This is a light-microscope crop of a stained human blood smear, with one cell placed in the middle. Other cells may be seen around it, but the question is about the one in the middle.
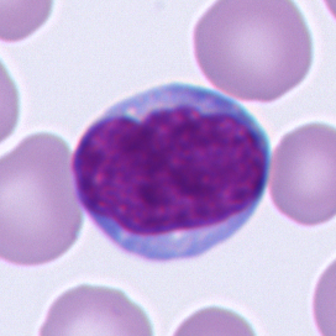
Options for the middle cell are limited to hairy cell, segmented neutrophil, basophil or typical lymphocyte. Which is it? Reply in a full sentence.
By classification, the middle cell of this crop is a typical lymphocyte.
